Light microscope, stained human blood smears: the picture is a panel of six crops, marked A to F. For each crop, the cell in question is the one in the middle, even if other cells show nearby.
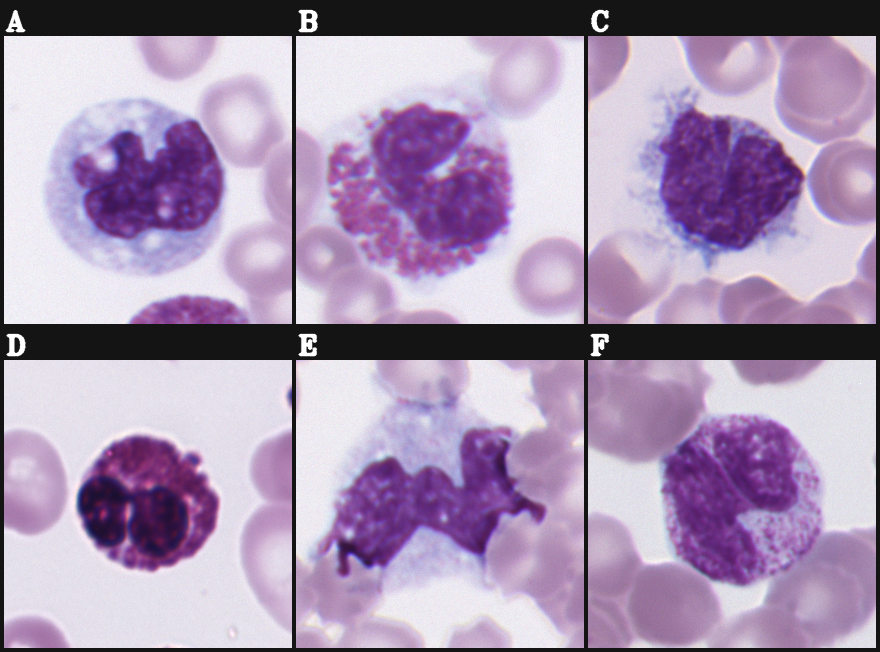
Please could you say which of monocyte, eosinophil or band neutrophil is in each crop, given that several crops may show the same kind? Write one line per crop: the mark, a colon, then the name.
A: monocyte
B: eosinophil
C: monocyte
D: eosinophil
E: monocyte
F: band neutrophil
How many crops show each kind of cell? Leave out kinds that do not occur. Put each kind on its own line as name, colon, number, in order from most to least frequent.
monocyte: 3
eosinophil: 2
band neutrophil: 1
